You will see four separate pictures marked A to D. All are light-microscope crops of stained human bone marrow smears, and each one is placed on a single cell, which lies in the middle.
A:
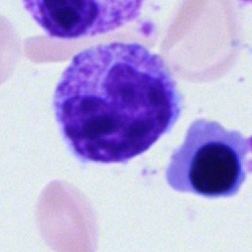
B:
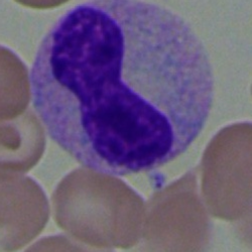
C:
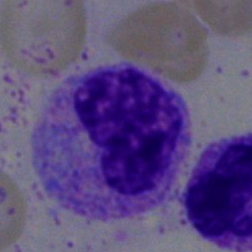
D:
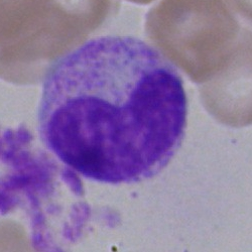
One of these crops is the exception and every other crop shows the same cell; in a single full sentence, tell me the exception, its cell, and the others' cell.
There is a band neutrophil in crop B, while all the other crops show metamyelocytes.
